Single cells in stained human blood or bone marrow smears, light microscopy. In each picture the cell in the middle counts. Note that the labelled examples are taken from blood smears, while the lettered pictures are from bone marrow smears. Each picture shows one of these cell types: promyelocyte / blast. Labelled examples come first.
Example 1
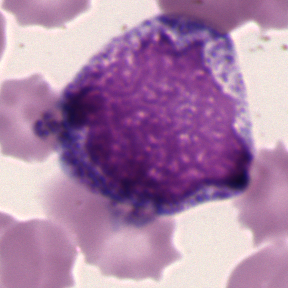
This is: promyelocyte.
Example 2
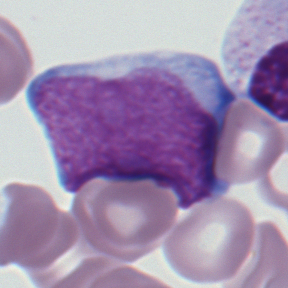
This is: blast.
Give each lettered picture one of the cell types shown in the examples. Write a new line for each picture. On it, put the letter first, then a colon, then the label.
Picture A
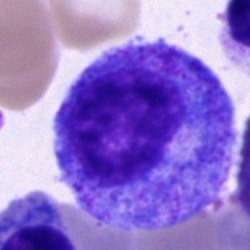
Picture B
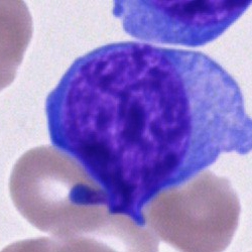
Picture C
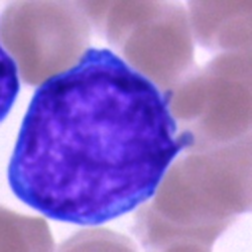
A: promyelocyte.
B: blast.
C: blast.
